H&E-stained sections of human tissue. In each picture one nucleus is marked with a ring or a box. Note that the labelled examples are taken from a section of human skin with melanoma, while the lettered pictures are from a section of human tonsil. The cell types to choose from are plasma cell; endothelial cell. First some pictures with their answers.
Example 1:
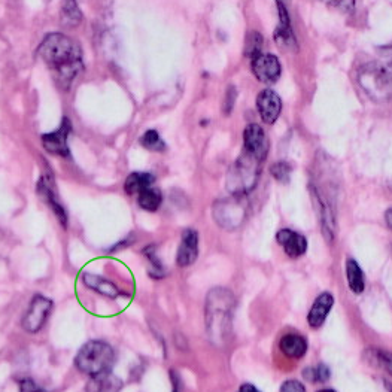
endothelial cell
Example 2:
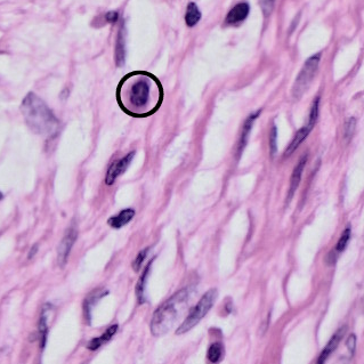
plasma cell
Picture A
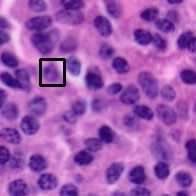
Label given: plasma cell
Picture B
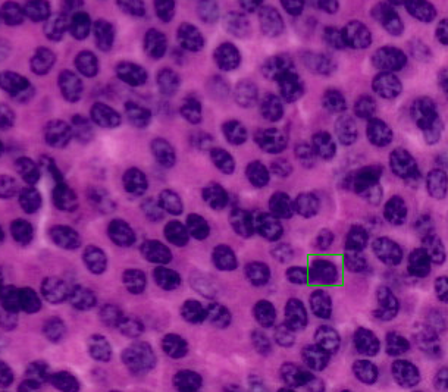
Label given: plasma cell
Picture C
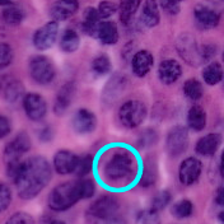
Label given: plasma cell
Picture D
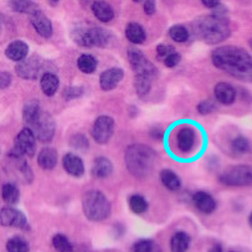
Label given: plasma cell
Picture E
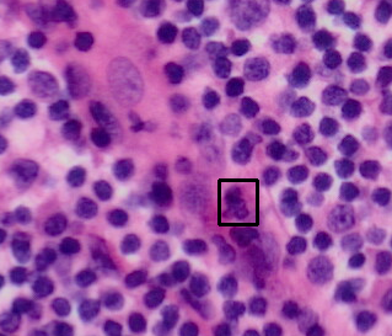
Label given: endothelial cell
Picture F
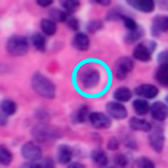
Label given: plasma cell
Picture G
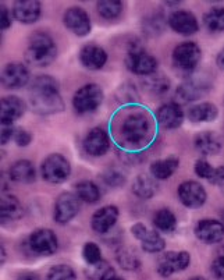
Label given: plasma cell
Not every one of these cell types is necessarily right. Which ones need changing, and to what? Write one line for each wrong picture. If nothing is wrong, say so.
F is labelled plasma cell; correct label: endothelial cell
